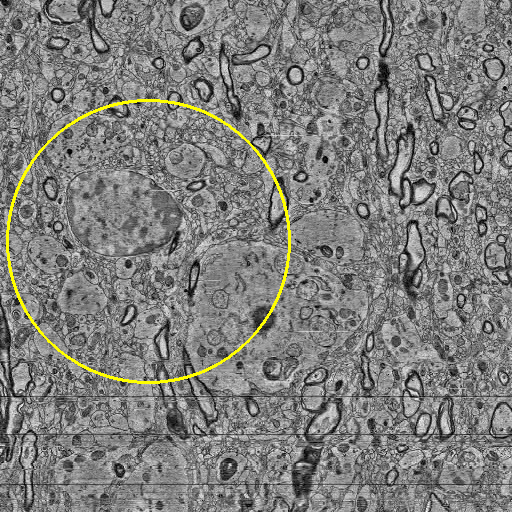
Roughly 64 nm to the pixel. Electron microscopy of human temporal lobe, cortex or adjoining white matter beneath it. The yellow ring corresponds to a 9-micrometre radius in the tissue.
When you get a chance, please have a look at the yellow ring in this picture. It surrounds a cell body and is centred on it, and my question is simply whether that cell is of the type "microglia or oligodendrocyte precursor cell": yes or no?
Yes, the cell is of that type.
